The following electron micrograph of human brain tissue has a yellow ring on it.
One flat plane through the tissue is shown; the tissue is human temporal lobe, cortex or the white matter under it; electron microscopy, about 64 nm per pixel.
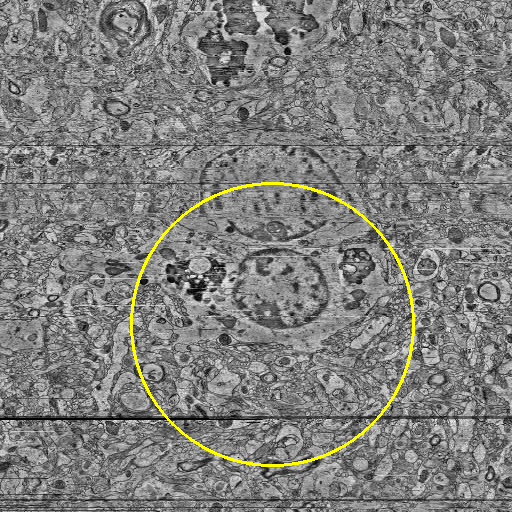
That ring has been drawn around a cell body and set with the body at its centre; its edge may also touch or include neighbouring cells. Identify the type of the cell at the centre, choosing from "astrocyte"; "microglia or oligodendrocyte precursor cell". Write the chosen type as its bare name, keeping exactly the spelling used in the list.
astrocyte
